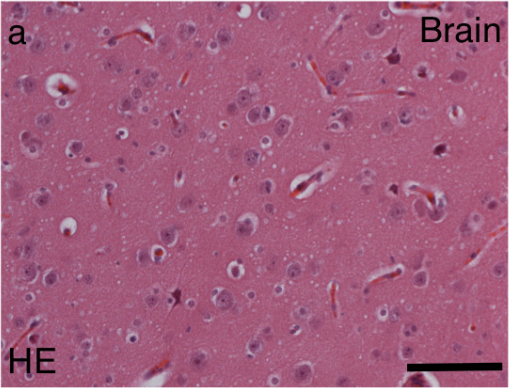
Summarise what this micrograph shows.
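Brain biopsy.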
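This section of cerebral cortex shows neurons and glial cells scattered in a pink neuropil. The neurons have round to triangular purple cell bodies with round nuclei, and many lie in a clear halo. Small round clear vacuoles are sprinkled through the neuropil, and several thin-walled blood vessels with red cells inside run across the field.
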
